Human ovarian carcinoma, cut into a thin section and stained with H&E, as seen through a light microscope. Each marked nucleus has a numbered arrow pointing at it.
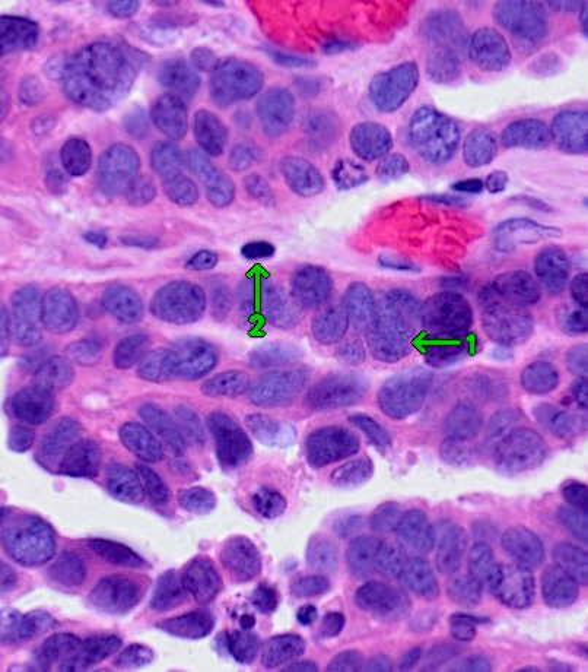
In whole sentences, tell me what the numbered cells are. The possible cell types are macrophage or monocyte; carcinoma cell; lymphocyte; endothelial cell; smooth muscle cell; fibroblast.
Cell 1 is a carcinoma cell. Cell 2 is a lymphocyte.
